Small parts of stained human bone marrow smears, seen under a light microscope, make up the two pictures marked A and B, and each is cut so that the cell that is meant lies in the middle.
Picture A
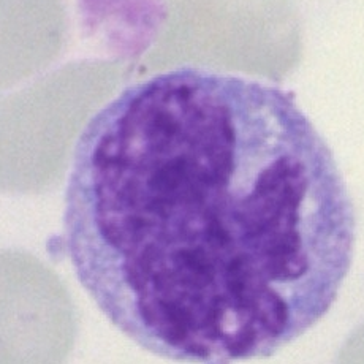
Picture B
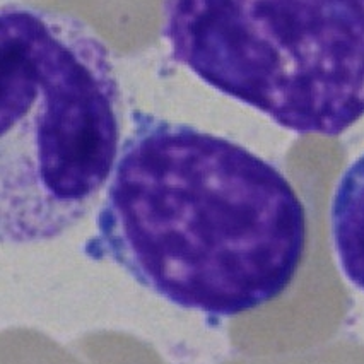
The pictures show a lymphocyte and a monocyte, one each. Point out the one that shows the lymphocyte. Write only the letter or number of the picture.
B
